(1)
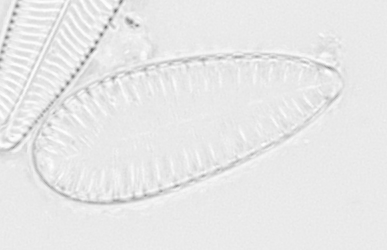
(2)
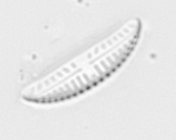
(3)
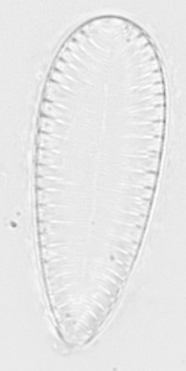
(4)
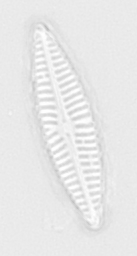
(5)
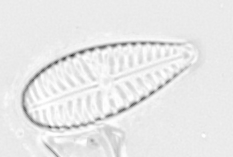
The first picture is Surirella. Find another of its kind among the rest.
Picture 3.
